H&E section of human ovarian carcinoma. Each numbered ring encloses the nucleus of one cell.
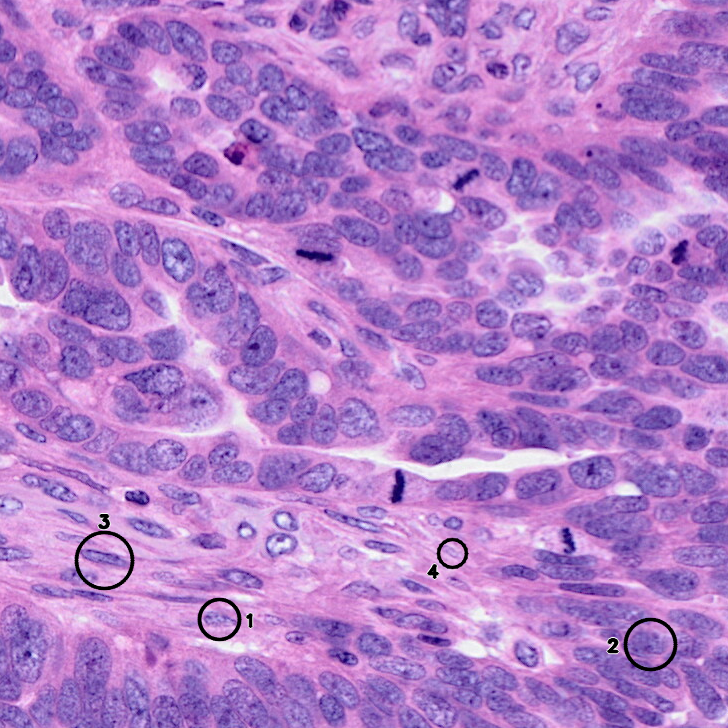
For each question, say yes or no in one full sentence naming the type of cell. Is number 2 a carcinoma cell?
Yes, as for number 2, the cell is a carcinoma cell.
